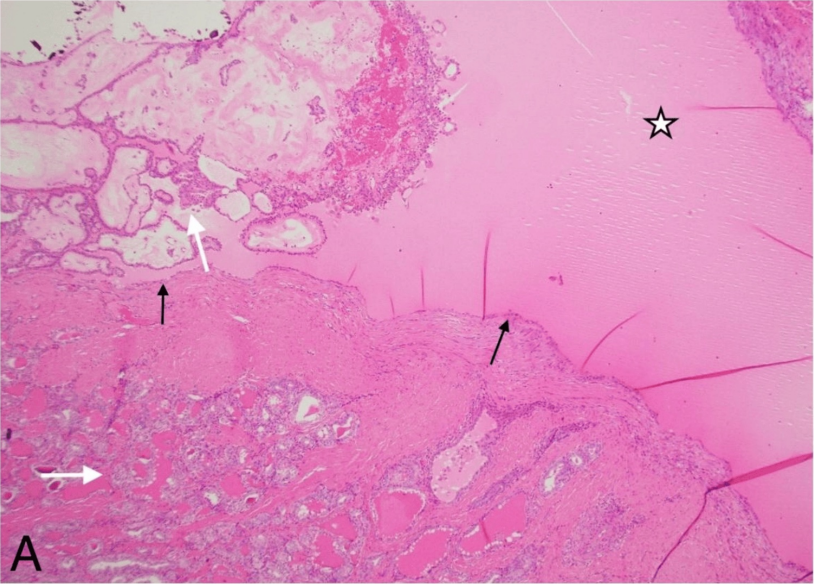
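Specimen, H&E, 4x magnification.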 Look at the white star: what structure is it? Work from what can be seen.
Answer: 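The star lies in a large acellular, homogeneous pale pink area. The area contains no nuclei and shows fine cracks and streaks.
Hence: Cyst fluid.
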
